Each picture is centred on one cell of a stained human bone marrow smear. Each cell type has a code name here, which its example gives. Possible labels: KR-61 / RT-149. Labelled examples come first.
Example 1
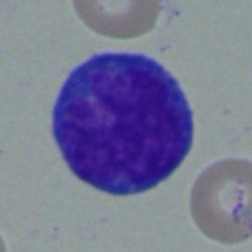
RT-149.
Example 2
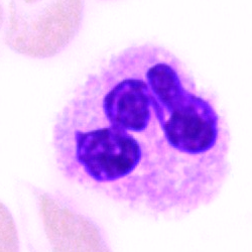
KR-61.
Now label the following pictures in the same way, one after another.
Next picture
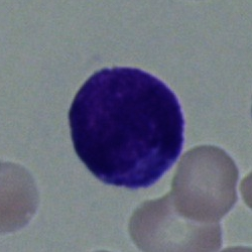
RT-149.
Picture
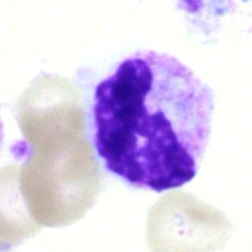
KR-61.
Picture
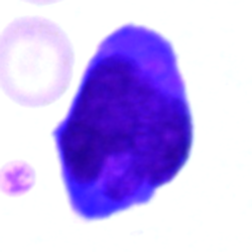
RT-149.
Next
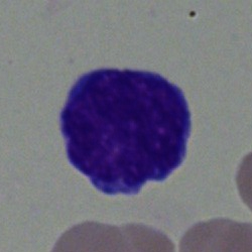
RT-149.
